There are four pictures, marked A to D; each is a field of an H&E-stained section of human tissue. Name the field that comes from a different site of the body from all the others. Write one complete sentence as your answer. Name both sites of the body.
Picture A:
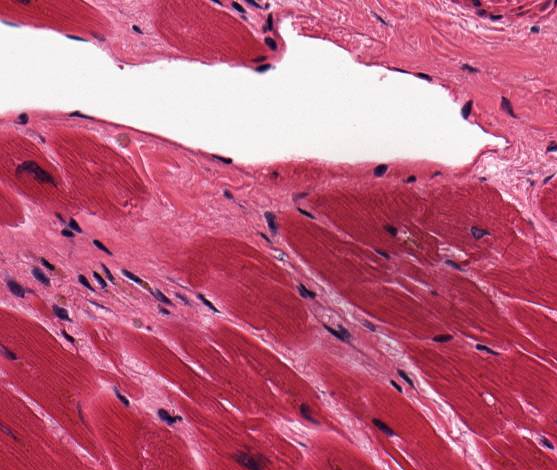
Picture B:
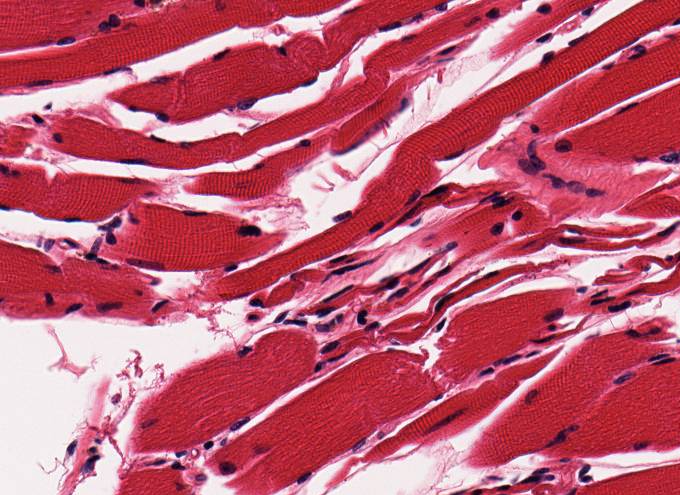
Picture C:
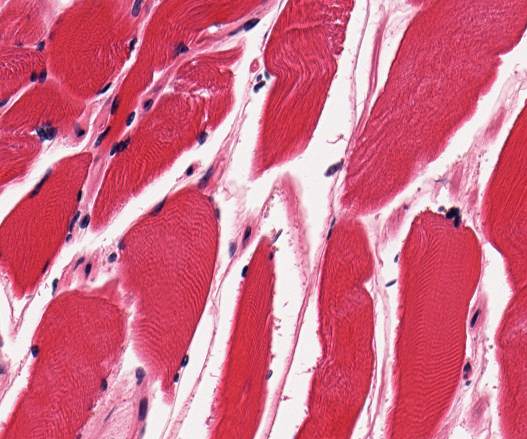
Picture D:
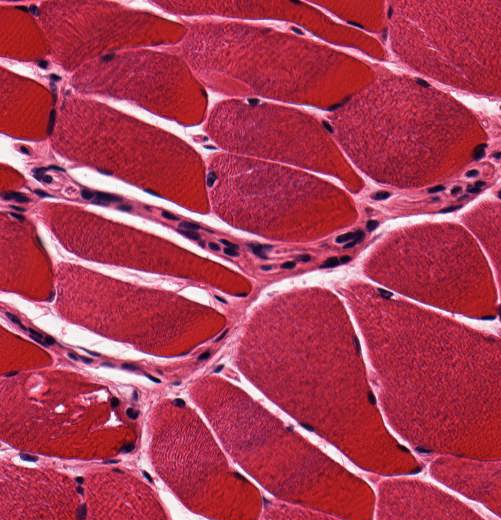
Picture A is the odd one out: it comes from the left ventricle of the heart, while the others come from skeletal muscle.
